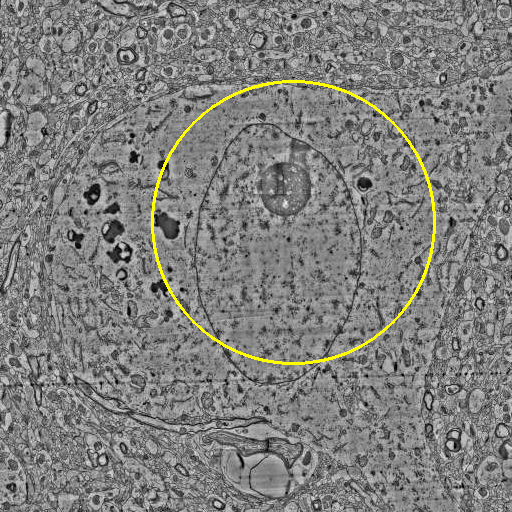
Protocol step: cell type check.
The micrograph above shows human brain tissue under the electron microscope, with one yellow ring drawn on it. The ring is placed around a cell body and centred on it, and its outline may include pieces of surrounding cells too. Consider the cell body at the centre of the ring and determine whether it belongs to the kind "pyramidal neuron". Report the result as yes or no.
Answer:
yes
